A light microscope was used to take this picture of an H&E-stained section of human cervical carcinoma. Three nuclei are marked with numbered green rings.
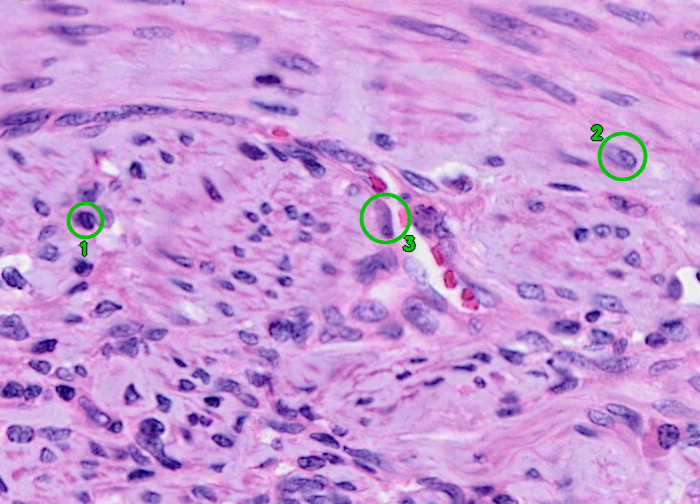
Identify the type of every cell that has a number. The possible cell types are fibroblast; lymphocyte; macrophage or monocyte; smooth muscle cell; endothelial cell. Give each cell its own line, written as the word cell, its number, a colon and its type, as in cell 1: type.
cell 1: lymphocyte
cell 2: smooth muscle cell
cell 3: endothelial cell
